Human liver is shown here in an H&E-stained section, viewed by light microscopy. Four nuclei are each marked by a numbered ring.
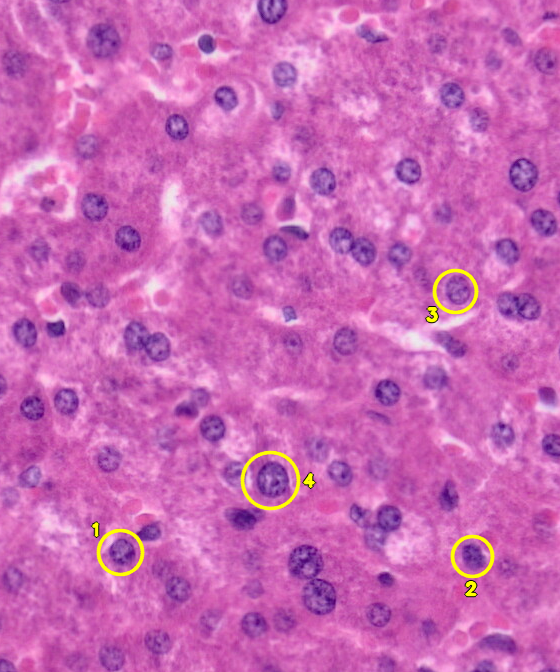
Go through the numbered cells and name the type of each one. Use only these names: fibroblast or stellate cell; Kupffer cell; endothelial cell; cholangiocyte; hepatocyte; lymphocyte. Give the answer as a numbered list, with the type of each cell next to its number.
1. hepatocyte
2. fibroblast or stellate cell
3. hepatocyte
4. hepatocyte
